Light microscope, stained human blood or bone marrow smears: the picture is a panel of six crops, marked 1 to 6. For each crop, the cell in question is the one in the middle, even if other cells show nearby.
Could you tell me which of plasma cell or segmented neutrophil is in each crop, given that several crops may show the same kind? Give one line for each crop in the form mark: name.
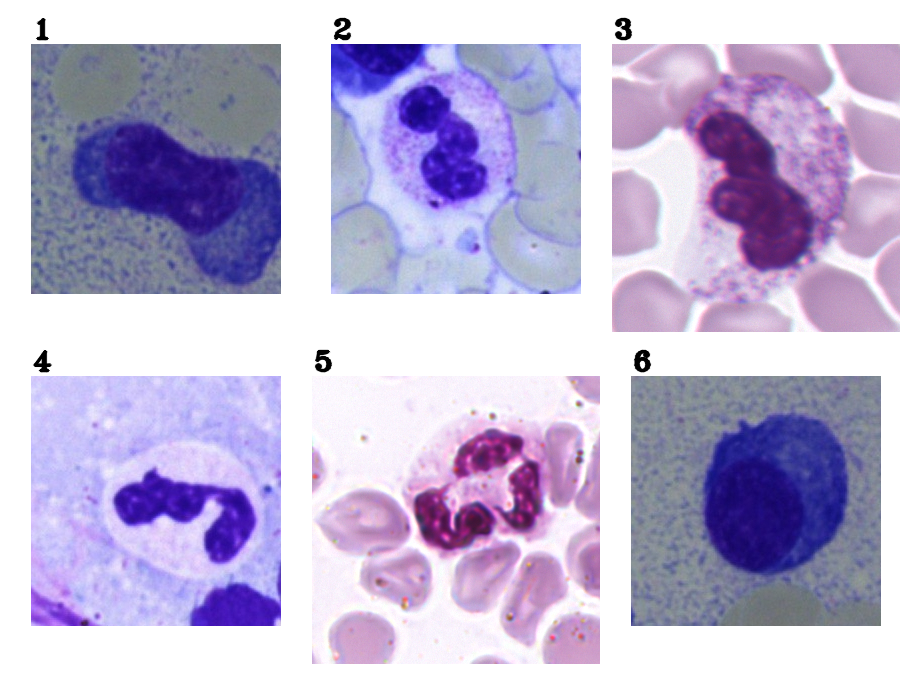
1: plasma cell
2: segmented neutrophil
3: segmented neutrophil
4: segmented neutrophil
5: segmented neutrophil
6: plasma cell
